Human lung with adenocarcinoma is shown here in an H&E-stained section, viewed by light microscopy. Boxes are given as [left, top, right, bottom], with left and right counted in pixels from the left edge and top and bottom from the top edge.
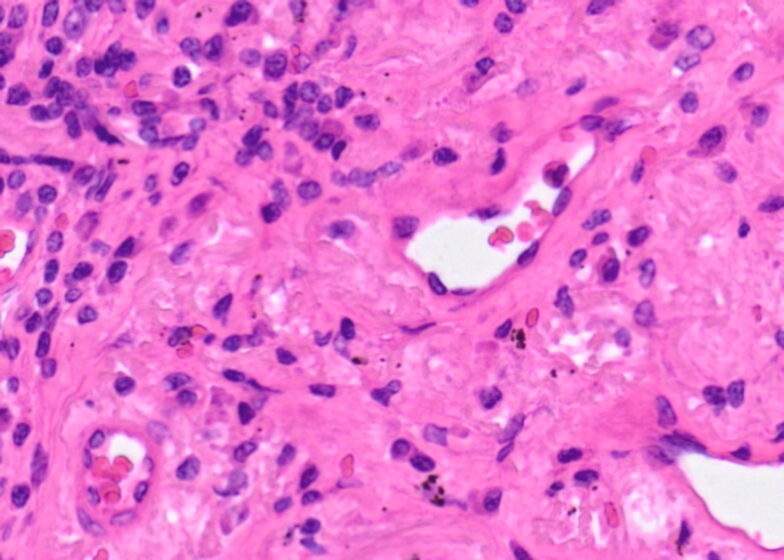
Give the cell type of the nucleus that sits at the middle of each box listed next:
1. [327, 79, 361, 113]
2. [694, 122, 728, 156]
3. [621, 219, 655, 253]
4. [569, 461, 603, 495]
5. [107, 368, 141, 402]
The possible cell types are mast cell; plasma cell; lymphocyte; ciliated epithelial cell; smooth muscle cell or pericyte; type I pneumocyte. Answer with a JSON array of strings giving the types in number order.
["lymphocyte", "plasma cell", "plasma cell", "plasma cell", "lymphocyte"]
